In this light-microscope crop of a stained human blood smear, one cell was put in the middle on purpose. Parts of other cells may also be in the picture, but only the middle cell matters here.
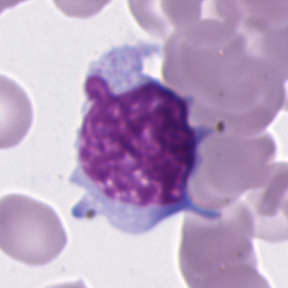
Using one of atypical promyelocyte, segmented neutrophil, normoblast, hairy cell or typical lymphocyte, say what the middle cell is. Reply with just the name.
typical lymphocyte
